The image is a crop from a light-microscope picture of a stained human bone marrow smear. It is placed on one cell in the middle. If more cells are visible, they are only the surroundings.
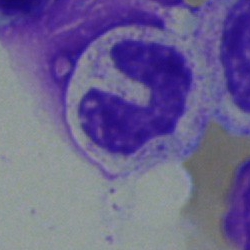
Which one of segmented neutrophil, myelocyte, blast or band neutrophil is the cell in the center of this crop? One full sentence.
In the middle of this smear crop, the cell is a band neutrophil.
